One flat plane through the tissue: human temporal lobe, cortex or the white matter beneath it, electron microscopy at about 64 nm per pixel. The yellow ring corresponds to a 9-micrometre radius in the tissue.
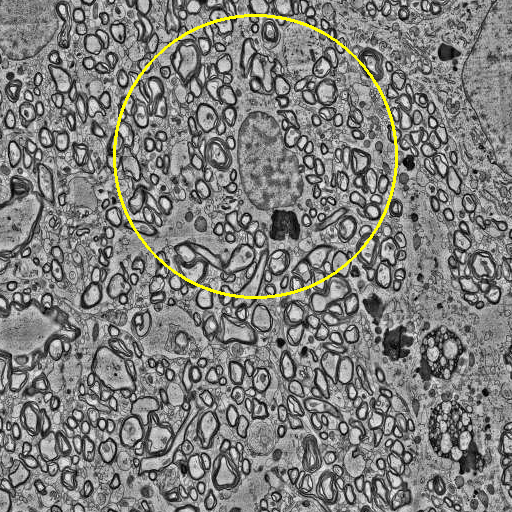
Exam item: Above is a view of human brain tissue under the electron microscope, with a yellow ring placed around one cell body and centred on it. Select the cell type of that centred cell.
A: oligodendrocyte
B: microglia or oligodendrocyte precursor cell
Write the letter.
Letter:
A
